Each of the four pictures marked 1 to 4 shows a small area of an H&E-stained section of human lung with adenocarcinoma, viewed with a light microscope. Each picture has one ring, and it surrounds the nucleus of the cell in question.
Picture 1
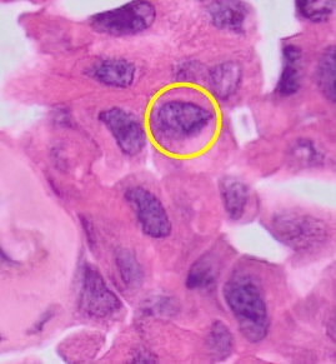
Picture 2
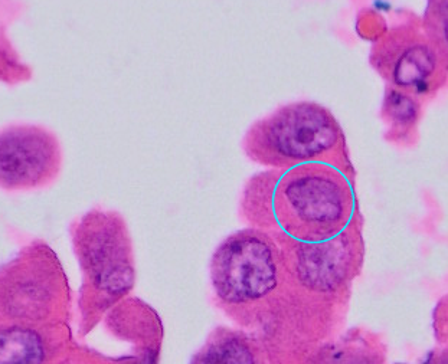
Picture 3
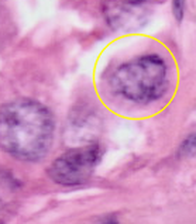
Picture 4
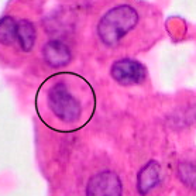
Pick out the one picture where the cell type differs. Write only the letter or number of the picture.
4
